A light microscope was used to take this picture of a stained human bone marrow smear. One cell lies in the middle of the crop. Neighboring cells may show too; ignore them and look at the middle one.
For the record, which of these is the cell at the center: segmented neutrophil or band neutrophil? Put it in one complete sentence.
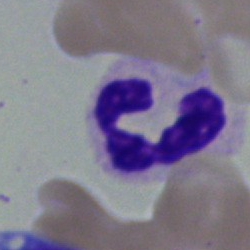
The cell in the exact centre of the crop is a segmented neutrophil.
